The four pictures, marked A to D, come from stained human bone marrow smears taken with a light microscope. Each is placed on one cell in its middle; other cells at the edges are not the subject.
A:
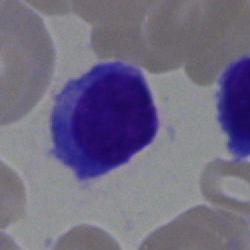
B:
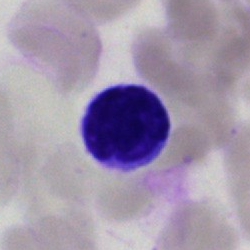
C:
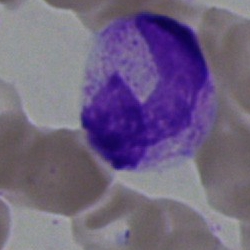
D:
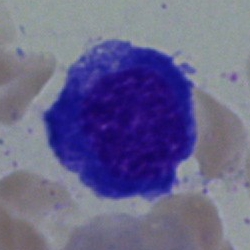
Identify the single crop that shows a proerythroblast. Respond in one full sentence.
Crop D is the correct crop, and it shows a proerythroblast.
